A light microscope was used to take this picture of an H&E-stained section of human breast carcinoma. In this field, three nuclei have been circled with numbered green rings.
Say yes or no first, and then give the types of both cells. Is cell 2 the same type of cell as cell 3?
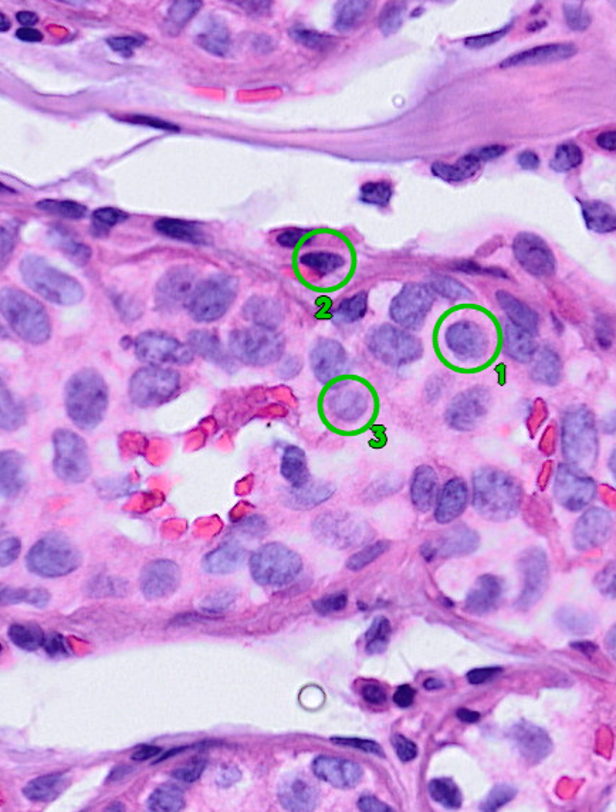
No, cell 2 is an endothelial cell and cell 3 is a carcinoma cell.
